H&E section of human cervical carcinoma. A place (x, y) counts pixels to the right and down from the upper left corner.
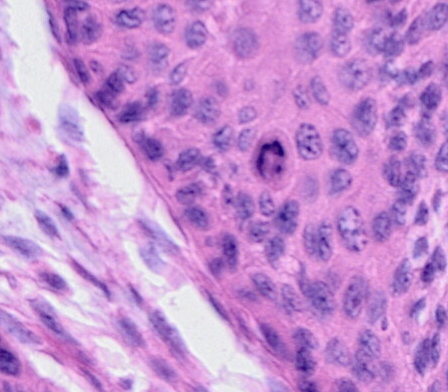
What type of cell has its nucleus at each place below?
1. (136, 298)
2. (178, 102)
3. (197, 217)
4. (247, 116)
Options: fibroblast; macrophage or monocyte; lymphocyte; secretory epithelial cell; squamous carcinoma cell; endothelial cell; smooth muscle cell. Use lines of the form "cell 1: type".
cell 1: fibroblast
cell 2: squamous carcinoma cell
cell 3: squamous carcinoma cell
cell 4: squamous carcinoma cell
